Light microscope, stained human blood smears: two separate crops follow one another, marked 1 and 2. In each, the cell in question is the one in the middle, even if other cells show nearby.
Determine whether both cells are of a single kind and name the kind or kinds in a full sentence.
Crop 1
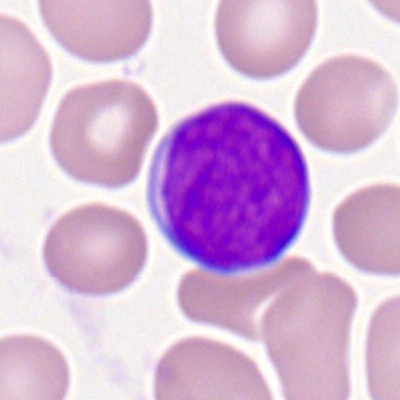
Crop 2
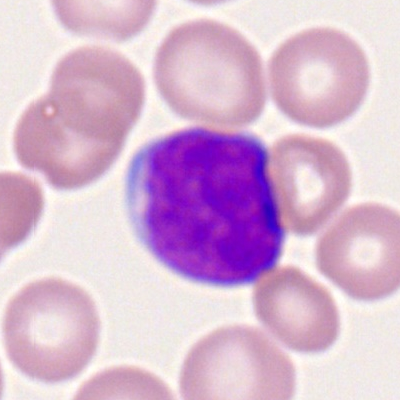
Yes, the cells in the centres of the two crops are myeloblasts.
